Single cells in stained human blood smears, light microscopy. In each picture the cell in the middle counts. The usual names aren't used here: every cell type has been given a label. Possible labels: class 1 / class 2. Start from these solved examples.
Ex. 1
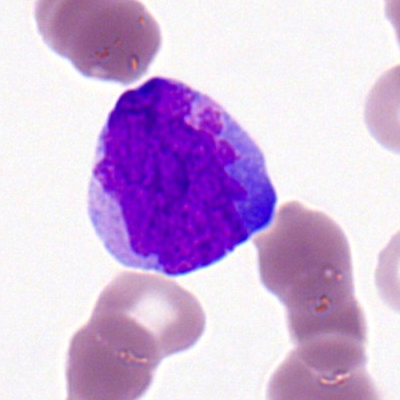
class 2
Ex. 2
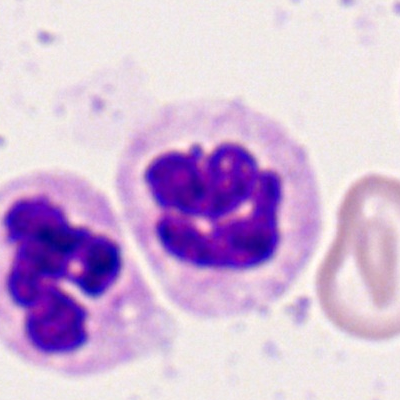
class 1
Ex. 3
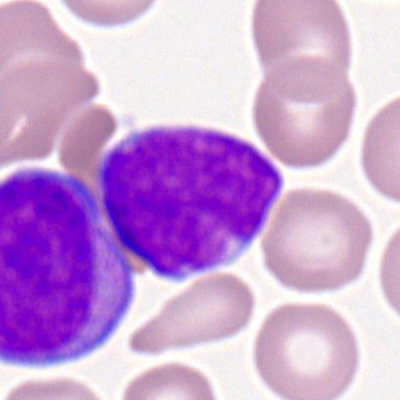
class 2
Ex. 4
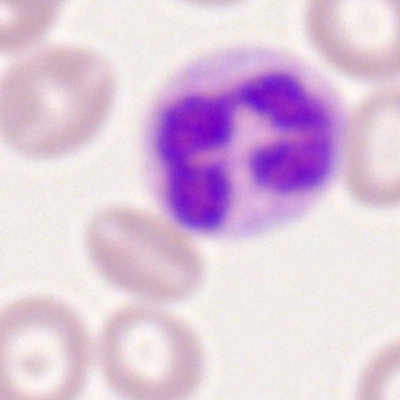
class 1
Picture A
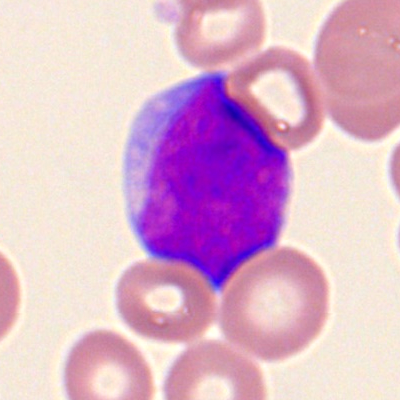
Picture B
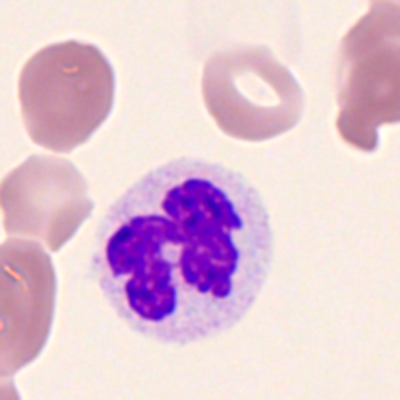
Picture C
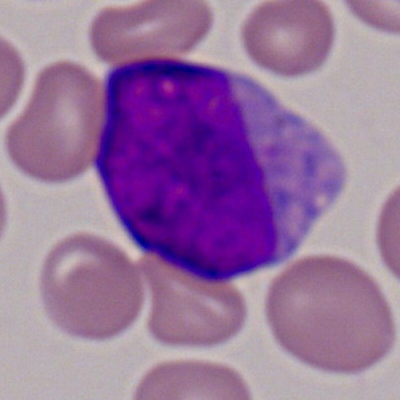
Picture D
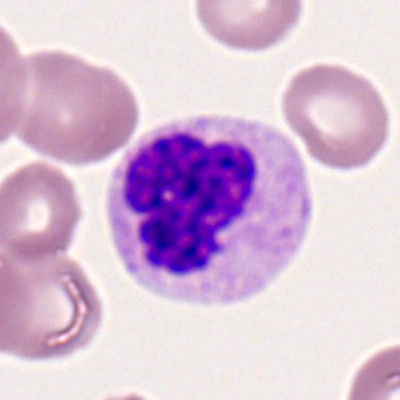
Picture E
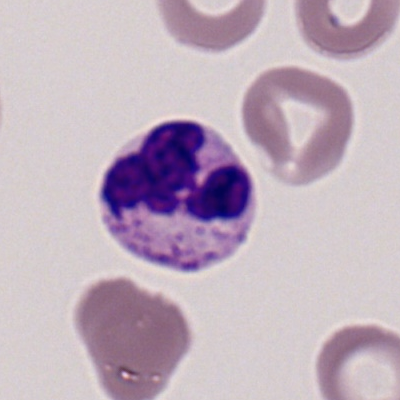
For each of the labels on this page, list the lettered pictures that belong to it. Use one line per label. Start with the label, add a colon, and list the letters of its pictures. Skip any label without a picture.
class 1: B, D, E
class 2: A, C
